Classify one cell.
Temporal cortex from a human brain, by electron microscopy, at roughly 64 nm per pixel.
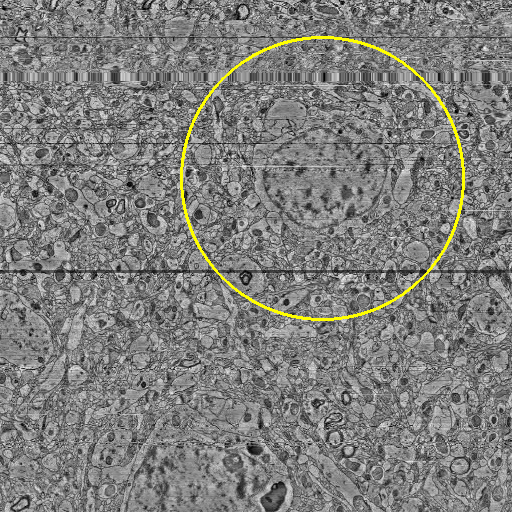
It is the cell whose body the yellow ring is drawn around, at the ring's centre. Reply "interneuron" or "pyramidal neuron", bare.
interneuron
